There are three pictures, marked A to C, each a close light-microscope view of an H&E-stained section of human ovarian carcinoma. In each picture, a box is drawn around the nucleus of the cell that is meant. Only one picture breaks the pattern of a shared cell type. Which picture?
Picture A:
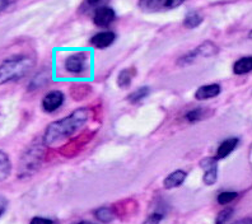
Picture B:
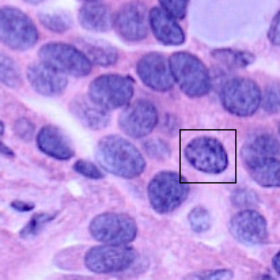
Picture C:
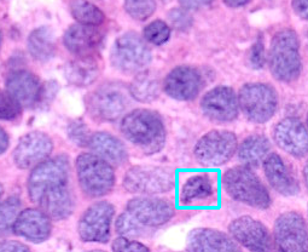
A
